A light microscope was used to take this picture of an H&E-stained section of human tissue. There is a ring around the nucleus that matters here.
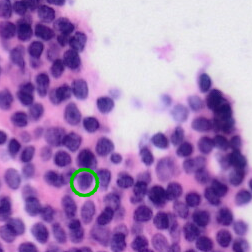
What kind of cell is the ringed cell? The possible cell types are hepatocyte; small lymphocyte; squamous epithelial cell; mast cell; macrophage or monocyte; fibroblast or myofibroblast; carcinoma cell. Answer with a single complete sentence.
On this particular slide, the ringed cell is a small lymphocyte.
